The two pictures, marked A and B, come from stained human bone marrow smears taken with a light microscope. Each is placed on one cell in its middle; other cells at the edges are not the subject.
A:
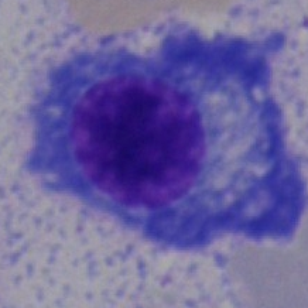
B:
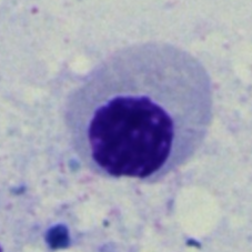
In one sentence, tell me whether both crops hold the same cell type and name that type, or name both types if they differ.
No, an erythroblast is in crop B, and a plasma cell is in crop A.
